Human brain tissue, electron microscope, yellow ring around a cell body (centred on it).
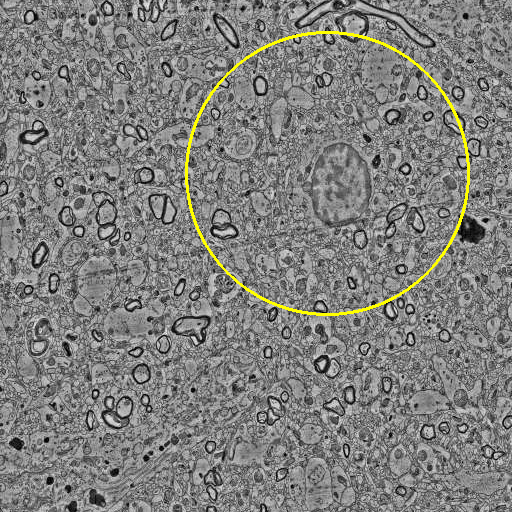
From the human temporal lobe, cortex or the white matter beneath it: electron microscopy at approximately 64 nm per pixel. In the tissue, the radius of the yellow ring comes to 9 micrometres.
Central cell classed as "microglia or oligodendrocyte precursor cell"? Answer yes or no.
no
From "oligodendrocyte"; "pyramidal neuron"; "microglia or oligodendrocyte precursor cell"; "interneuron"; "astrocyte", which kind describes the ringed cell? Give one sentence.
The ring holds an oligodendrocyte at its centre.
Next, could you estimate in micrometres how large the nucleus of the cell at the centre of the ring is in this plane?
Approximately 5 by 4 micrometers in this plane.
